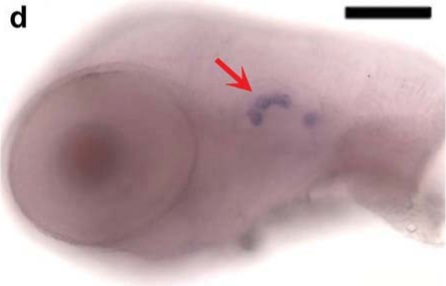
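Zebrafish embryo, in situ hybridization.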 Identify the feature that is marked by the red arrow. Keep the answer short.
Otic vesicle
